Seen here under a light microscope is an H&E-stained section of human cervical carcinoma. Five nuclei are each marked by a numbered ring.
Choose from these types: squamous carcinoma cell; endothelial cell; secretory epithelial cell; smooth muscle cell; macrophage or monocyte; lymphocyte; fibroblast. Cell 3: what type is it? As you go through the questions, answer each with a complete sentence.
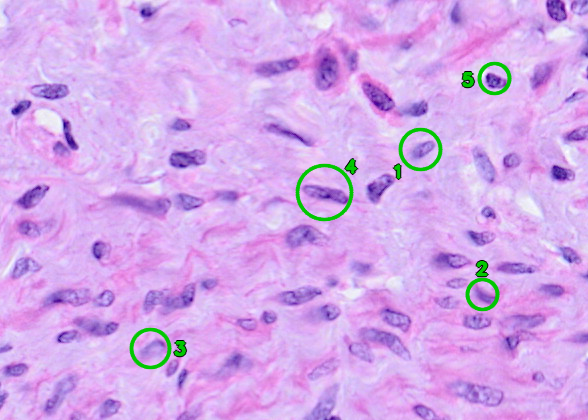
The numbered cell 3 is identified here as a smooth muscle cell.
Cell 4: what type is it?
The nucleus with number 4 is that of a fibroblast.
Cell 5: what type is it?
In this section, the cell numbered 5 is a lymphocyte.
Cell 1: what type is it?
Cell 1, as marked in the section, is a fibroblast.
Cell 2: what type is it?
That cell with number 2 is a smooth muscle cell.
